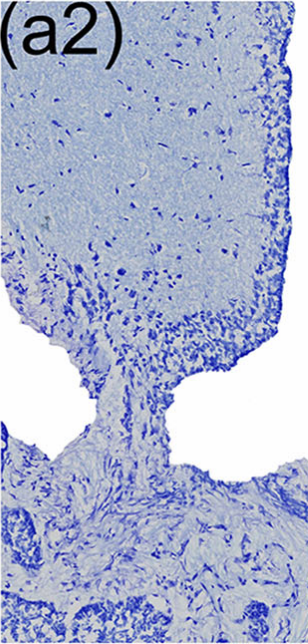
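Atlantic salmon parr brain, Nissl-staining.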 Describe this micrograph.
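Blue-stained nuclei are scattered sparsely through the pale neuropil above and crowd densely along the edge next to the ventricle and toward the stalk. Below the stalk, the pituitary tissue is more fibrous and lobular.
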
